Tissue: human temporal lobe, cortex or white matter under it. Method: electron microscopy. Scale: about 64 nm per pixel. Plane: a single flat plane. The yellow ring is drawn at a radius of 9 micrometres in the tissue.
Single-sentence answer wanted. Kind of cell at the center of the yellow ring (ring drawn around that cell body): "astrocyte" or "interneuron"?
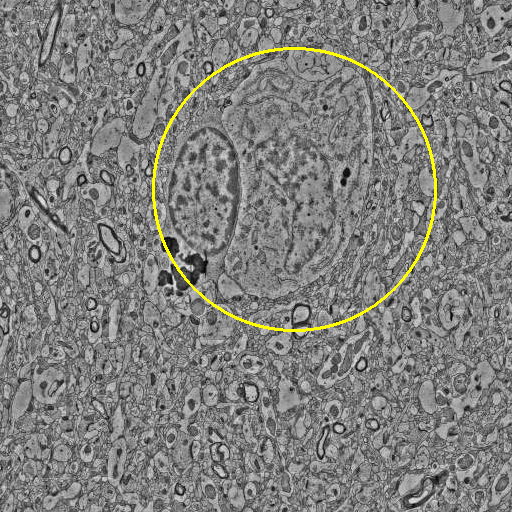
The cell centered in the ring is an interneuron.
